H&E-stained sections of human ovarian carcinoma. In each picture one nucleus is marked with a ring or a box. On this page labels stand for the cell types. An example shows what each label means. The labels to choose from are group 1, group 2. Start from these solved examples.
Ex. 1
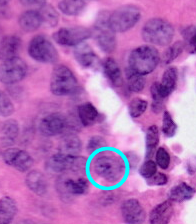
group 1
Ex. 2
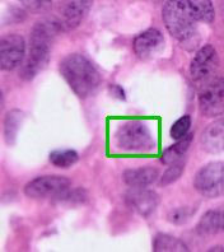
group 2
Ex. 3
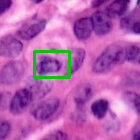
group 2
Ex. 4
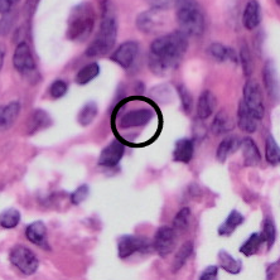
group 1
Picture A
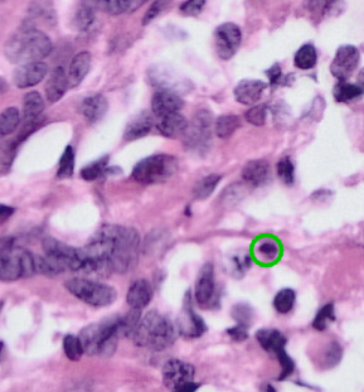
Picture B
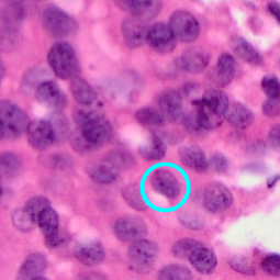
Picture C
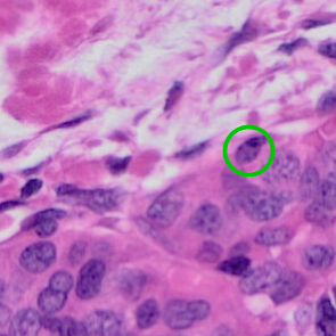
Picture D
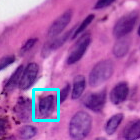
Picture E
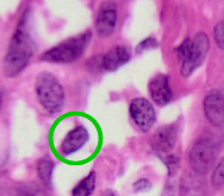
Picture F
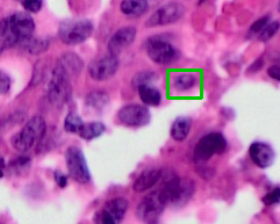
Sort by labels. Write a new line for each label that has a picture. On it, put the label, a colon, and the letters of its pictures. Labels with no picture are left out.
group 1: B, E
group 2: A, C, D, F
